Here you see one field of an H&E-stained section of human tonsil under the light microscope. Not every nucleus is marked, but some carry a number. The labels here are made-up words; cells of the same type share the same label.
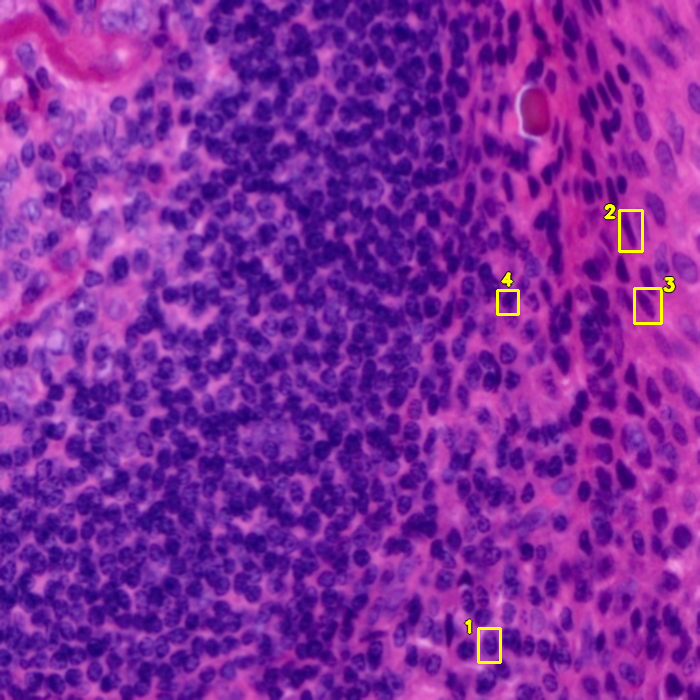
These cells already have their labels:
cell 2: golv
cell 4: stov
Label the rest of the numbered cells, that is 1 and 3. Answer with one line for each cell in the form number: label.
1: stov
3: golv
